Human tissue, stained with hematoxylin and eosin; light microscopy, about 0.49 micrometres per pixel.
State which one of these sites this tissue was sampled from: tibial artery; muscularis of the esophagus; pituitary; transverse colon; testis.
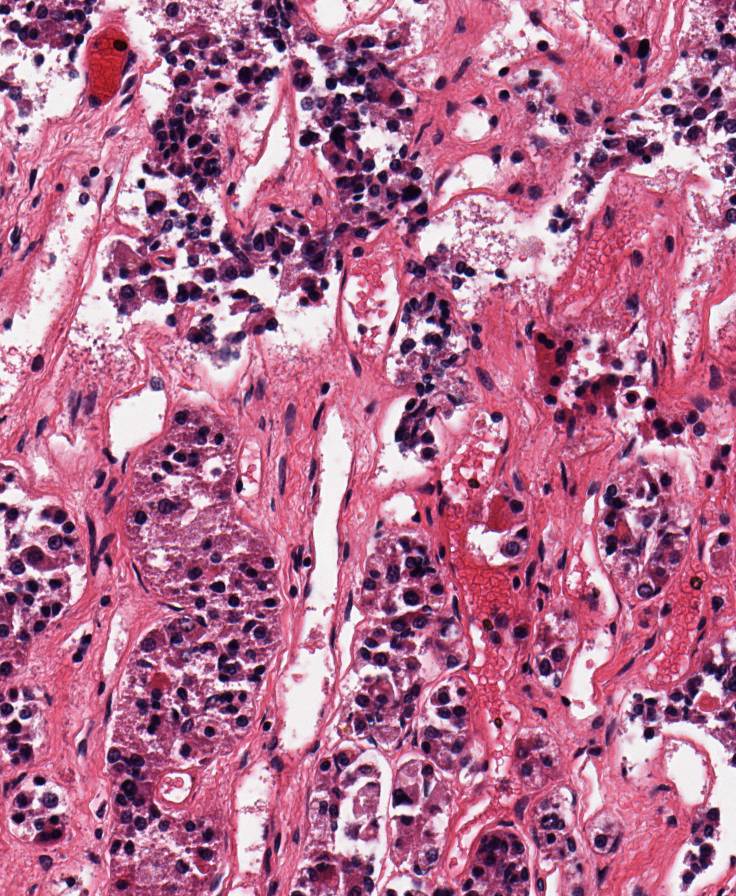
pituitary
